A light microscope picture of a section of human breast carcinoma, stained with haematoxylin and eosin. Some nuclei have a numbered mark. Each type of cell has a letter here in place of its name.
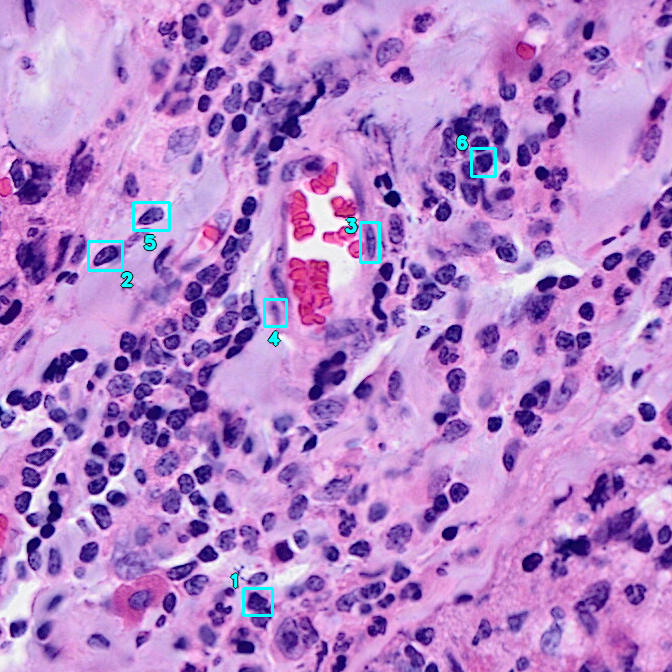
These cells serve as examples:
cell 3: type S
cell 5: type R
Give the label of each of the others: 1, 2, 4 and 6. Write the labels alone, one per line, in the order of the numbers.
type R
type R
type S
type R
